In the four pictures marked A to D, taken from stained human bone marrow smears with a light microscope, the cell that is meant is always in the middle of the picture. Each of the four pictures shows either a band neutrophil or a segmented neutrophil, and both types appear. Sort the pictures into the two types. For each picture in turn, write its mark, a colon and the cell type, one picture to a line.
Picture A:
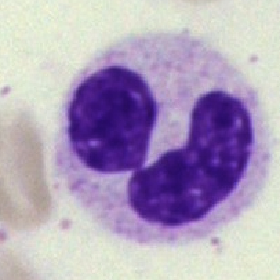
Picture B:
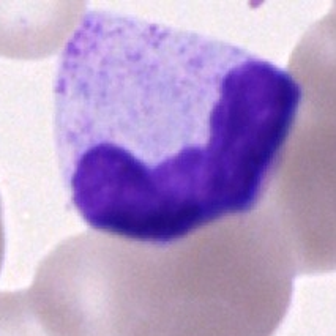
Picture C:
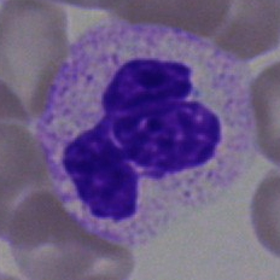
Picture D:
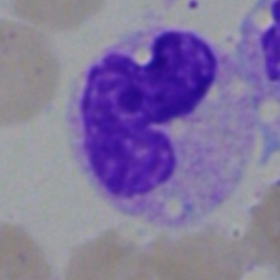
A: segmented neutrophil
B: band neutrophil
C: segmented neutrophil
D: band neutrophil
